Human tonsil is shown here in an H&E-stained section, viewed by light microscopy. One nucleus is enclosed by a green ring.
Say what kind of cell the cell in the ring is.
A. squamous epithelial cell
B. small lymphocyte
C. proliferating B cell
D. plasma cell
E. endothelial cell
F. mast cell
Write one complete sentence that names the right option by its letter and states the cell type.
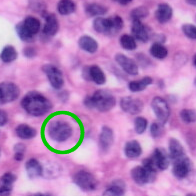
The correct choice is option C; the cell in the ring is a proliferating B cell.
